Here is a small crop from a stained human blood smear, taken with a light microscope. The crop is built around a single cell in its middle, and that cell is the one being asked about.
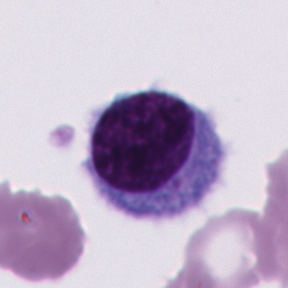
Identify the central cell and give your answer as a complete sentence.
The middle position in this crop is taken by a hairy cell.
